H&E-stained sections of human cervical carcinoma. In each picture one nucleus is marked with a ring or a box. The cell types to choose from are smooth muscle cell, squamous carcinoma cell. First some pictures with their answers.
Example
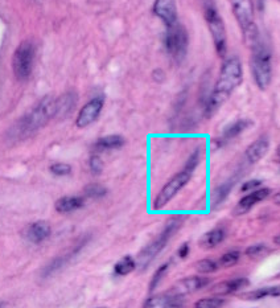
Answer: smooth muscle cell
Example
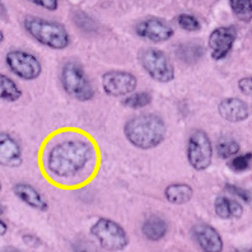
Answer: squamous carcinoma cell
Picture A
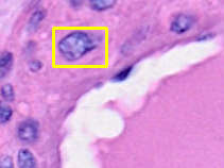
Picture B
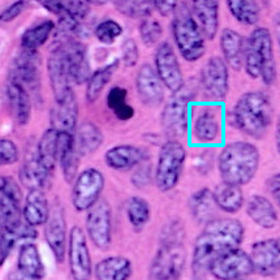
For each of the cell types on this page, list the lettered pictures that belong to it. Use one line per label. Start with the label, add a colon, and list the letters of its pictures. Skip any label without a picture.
smooth muscle cell: A
squamous carcinoma cell: B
